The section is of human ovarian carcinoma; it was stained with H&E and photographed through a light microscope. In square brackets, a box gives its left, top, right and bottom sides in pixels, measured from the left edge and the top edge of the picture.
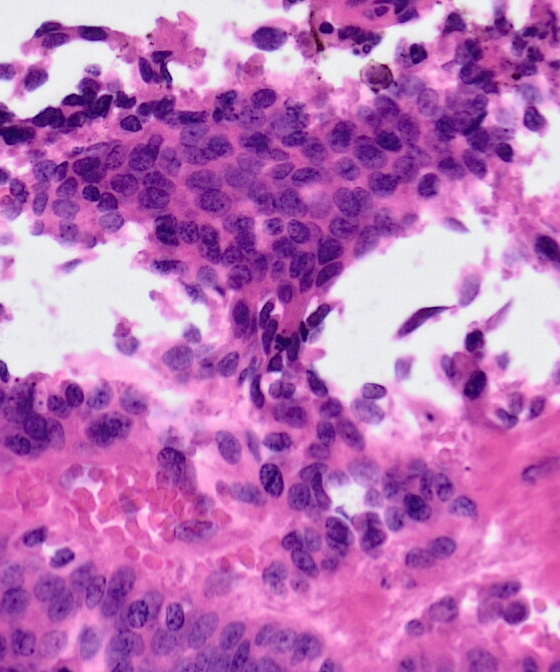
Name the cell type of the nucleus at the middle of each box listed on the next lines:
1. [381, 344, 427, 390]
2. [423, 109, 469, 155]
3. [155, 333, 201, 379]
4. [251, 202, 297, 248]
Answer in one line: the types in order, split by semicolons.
carcinoma cell; carcinoma cell; carcinoma cell; macrophage or monocyte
